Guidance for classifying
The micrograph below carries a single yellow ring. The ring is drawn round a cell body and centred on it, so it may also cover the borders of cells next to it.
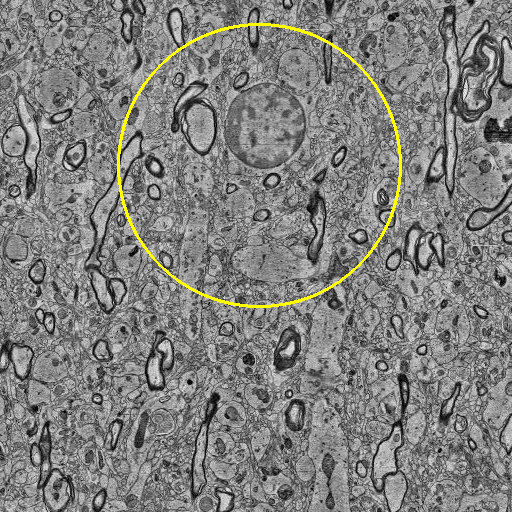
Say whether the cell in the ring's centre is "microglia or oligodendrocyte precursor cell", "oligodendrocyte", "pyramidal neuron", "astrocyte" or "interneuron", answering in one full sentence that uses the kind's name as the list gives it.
Within the yellow ring, a microglial cell or oligodendrocyte precursor cell is the cell whose body sits at the centre.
